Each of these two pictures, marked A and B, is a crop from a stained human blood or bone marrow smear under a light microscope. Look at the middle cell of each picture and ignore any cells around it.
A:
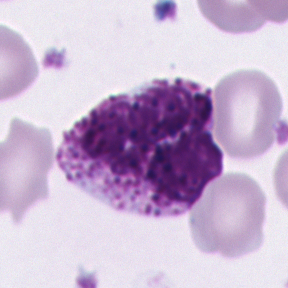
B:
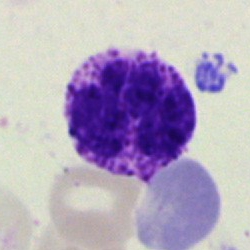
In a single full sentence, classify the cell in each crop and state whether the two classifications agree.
Yes, that holds, both crops show basophils.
